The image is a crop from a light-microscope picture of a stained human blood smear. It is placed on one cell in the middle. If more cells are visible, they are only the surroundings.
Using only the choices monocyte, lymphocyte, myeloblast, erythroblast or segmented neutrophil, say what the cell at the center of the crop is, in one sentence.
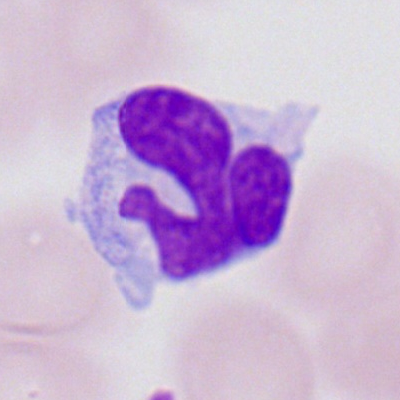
The central cell in this smear crop is a monocyte.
